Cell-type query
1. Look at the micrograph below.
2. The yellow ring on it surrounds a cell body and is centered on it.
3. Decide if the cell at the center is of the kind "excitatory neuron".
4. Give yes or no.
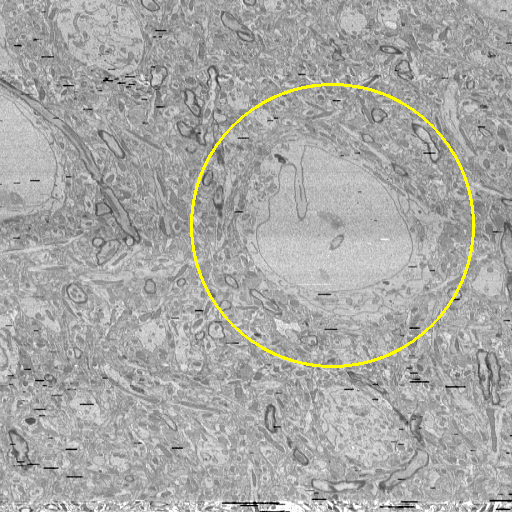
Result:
yes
